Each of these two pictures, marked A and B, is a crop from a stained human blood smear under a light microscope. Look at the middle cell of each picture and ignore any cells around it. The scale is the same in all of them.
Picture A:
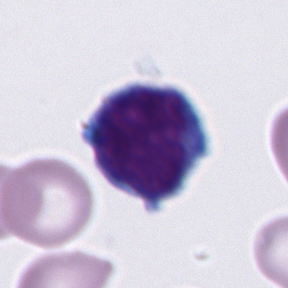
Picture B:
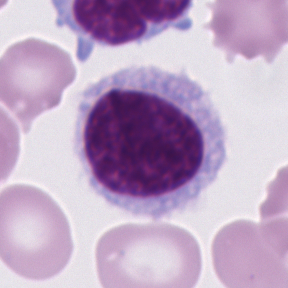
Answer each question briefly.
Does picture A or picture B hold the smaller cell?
A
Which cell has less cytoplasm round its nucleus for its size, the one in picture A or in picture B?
A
